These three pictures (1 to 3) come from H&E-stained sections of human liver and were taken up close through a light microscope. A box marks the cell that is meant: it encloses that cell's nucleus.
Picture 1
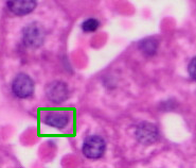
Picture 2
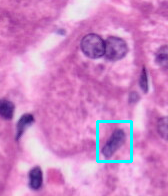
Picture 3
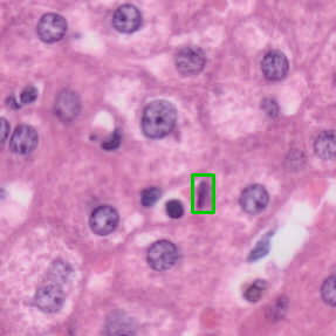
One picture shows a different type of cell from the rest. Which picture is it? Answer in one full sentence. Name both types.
All pictures except 3 show “fibroblasts or stellate cells”; picture 3 shows an endothelial cell.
